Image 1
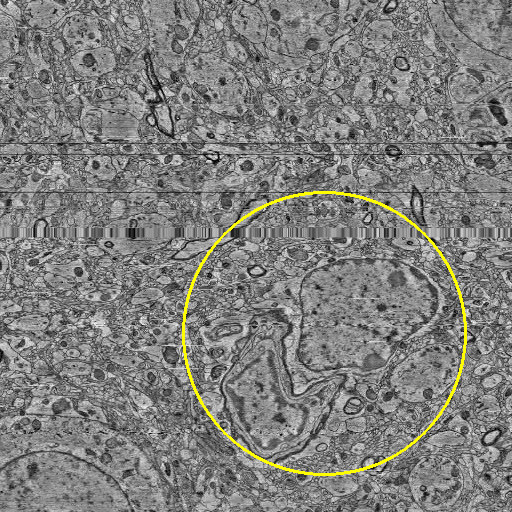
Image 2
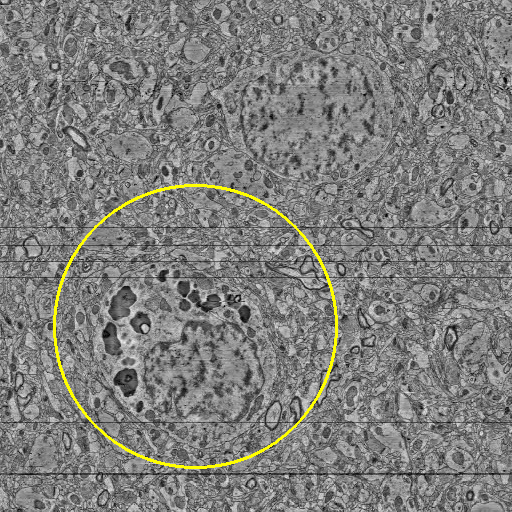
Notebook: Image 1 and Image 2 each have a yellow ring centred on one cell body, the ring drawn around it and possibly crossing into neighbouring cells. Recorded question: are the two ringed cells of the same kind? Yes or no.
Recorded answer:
no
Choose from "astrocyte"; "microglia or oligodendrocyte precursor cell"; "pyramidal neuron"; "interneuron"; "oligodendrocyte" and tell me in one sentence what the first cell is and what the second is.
What the first ring is centred on is a microglial cell or oligodendrocyte precursor cell; what the second ring is centred on is an interneuron.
